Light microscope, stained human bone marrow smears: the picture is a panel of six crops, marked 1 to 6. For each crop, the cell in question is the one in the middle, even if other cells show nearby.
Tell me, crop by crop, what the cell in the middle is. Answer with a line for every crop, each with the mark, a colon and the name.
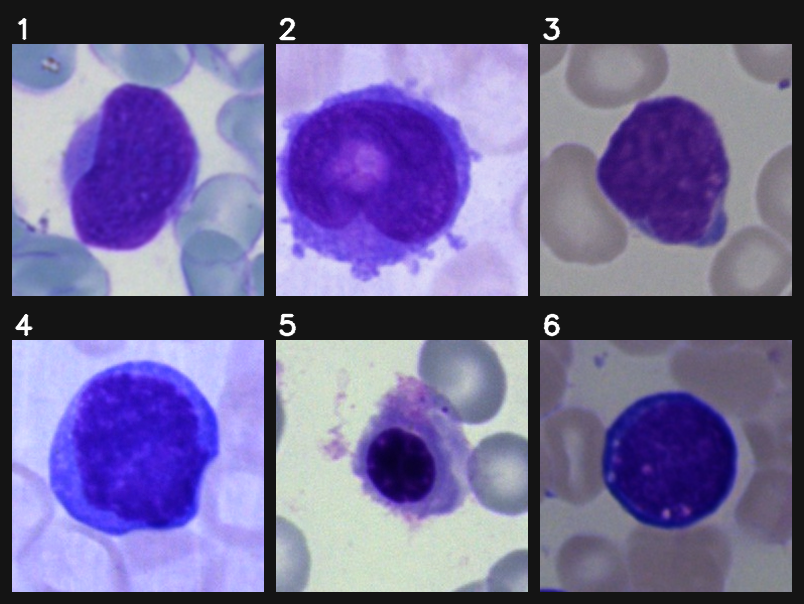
1: blast
2: blast
3: blast
4: blast
5: erythroblast
6: blast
